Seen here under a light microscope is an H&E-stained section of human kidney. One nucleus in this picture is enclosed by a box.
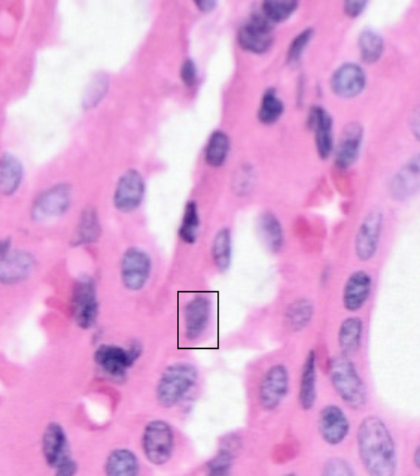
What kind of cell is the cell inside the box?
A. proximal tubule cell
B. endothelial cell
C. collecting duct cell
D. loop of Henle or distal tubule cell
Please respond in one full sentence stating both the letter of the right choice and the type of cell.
Right answer, option D: the cell inside the box is a loop of Henle or distal tubule cell.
